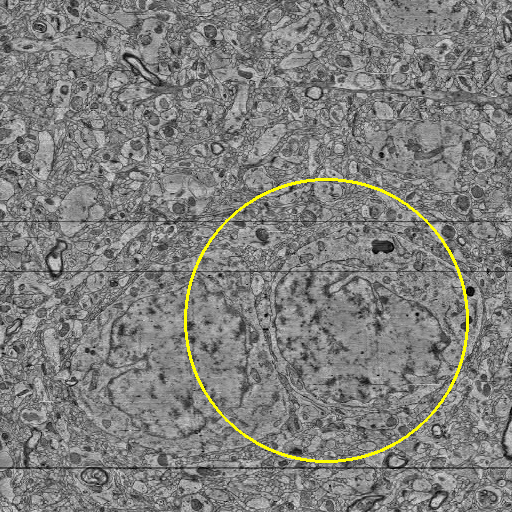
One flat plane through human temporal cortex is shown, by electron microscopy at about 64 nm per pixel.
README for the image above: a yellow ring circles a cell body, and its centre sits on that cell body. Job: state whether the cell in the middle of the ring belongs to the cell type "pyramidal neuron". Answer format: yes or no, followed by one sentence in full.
No, in the image, the ring's central cell belongs to another type.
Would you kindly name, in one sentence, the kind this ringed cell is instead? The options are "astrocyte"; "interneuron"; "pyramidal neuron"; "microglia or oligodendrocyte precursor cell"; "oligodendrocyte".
The cell at the ring centre is an interneuron.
